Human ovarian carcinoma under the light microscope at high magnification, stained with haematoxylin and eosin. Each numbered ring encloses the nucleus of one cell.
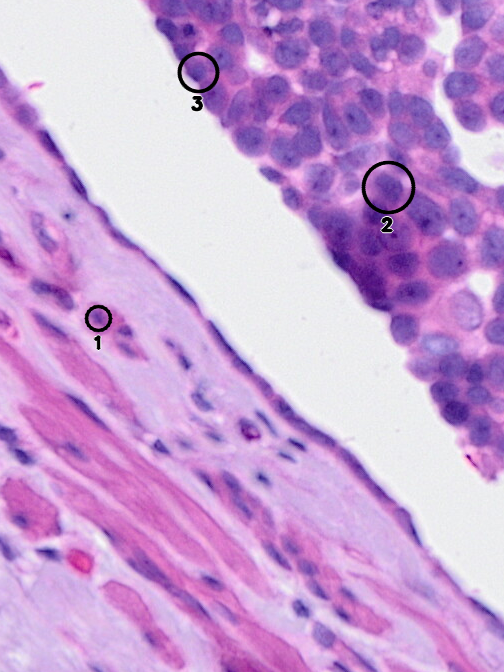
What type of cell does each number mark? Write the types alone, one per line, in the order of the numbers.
smooth muscle cell
carcinoma cell
carcinoma cell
